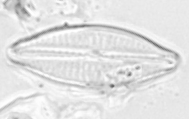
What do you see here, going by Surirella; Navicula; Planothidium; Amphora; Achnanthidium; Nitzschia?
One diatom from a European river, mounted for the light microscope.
I see Navicula.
